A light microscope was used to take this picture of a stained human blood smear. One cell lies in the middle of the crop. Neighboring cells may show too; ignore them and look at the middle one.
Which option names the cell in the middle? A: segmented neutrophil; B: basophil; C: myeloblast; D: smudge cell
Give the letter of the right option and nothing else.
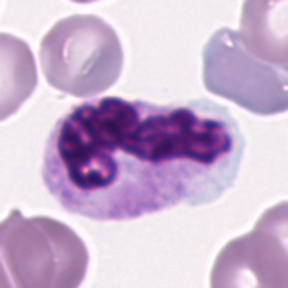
A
